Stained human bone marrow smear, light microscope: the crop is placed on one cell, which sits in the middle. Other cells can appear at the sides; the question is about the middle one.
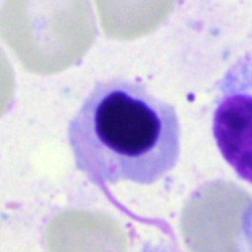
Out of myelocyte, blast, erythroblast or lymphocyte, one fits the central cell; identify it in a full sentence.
The cell in the middle of the field of view is an erythroblast.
